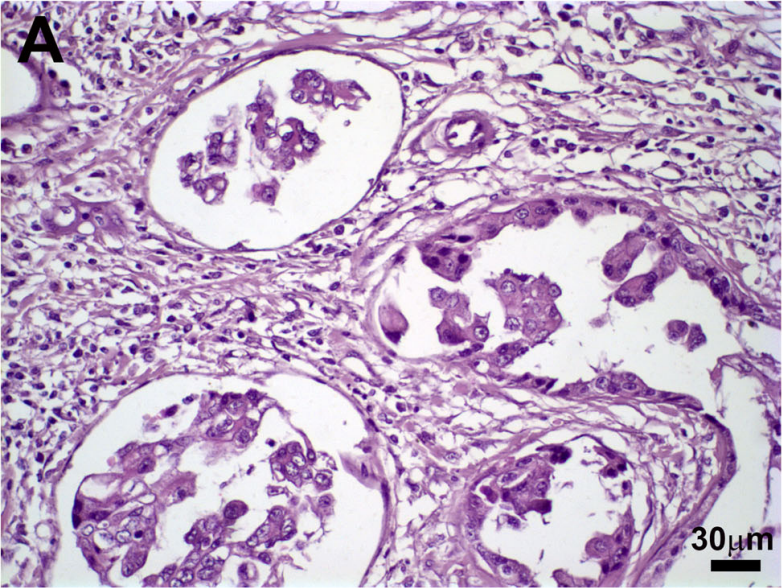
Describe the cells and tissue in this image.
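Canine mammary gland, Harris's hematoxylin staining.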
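The tumour cells are plump and polygonal with pink cytoplasm, large round vesicular nuclei and visible nucleoli. Between the spaces lies loose, pale stroma with scattered small spindle-shaped and round cells.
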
